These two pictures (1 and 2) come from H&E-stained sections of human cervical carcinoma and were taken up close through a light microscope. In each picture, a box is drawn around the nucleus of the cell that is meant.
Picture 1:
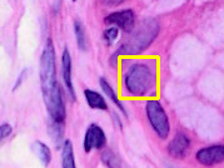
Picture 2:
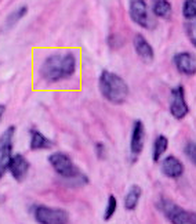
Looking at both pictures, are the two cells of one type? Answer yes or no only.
no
